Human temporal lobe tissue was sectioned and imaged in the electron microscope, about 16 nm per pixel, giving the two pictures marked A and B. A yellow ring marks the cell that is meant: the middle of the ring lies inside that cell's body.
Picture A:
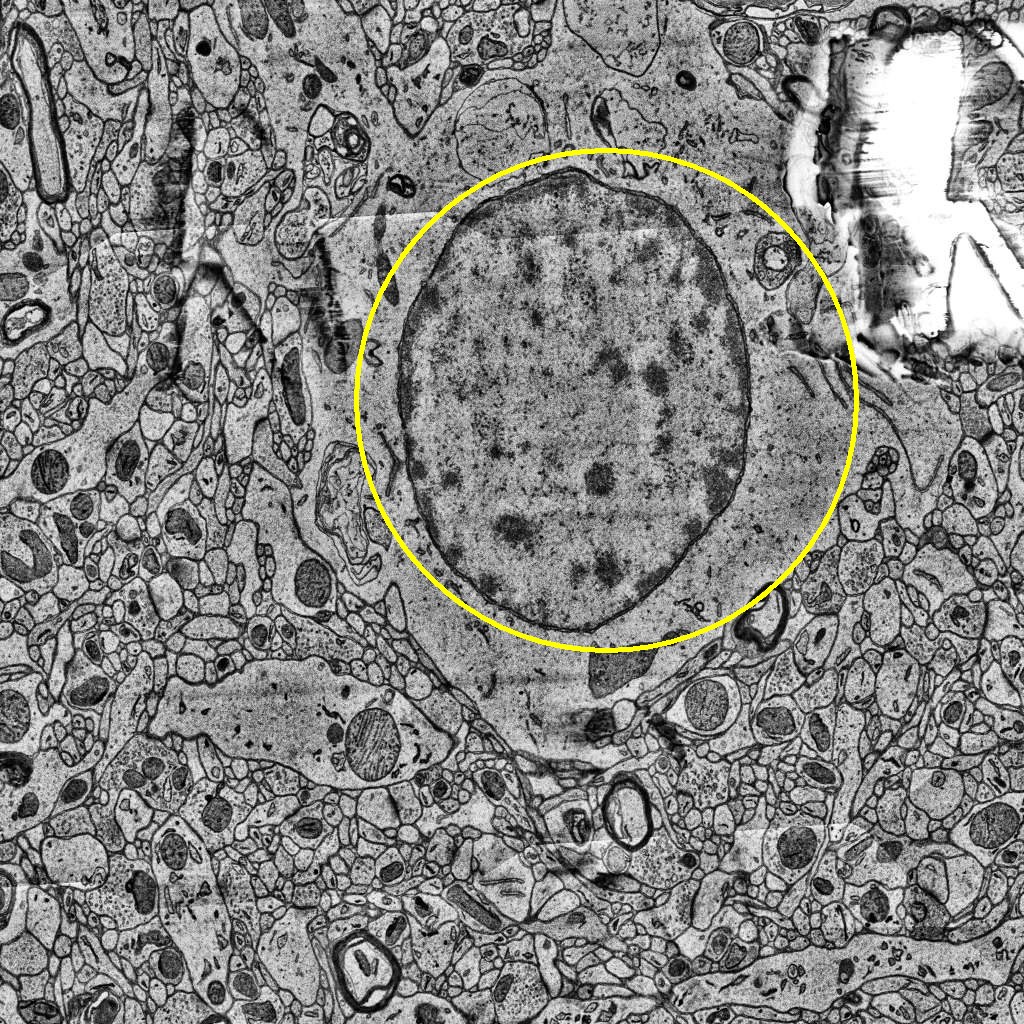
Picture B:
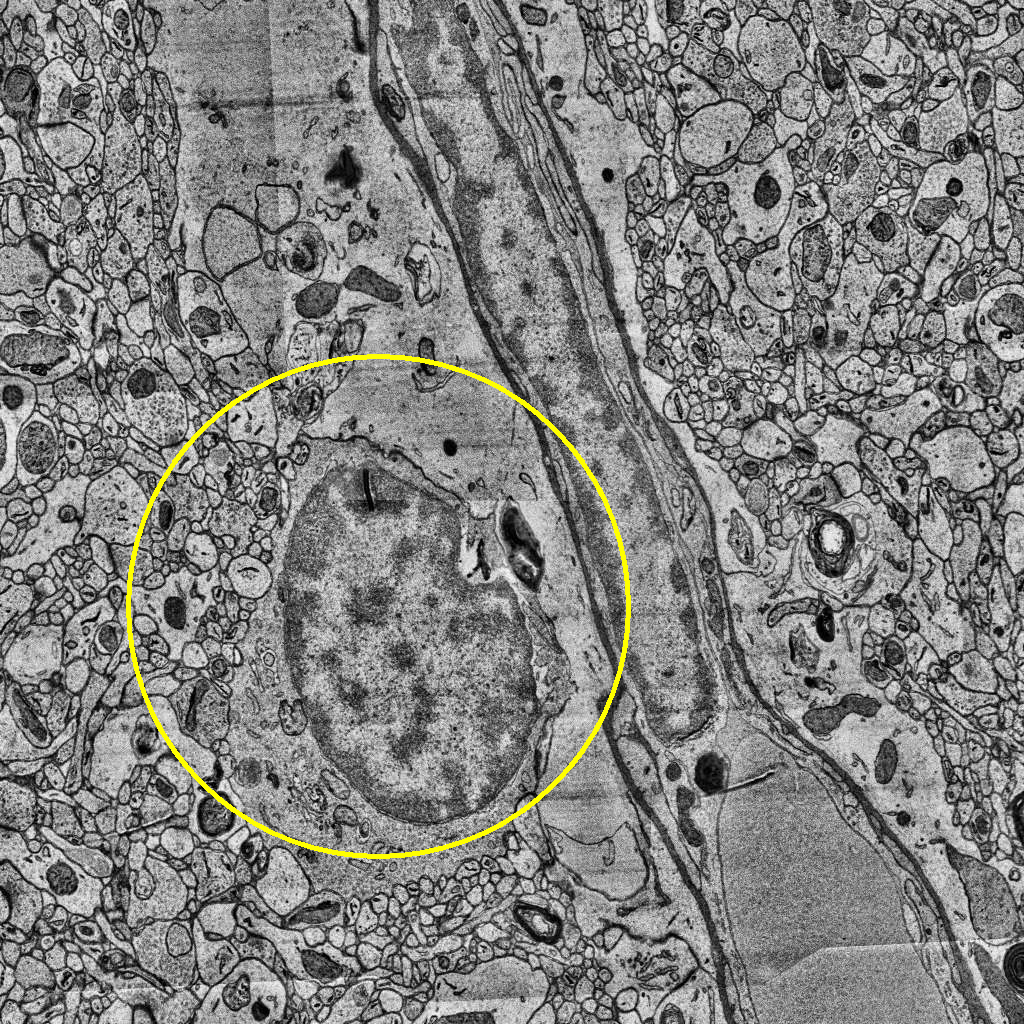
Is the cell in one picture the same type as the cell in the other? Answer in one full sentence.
No, the types are not the same, since picture A shows an astrocyte and picture B an oligodendrocyte.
